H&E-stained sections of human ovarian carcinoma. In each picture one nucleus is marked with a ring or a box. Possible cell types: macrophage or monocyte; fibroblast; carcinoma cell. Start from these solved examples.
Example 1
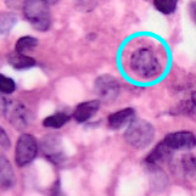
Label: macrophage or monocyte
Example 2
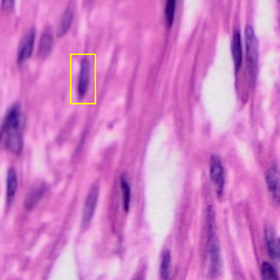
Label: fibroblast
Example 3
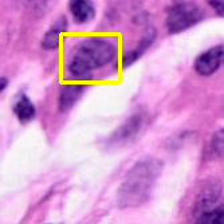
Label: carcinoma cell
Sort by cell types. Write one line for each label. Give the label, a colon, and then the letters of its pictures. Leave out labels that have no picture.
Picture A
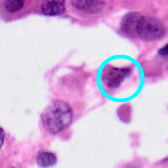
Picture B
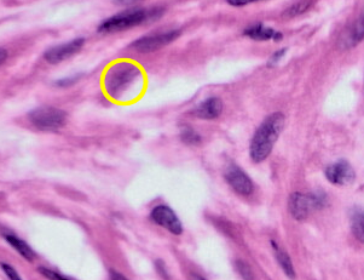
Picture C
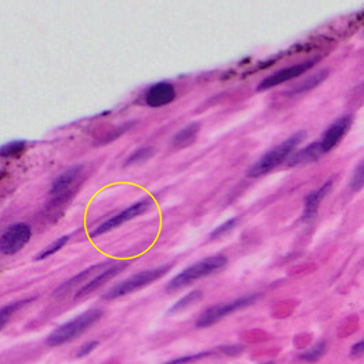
macrophage or monocyte: A
fibroblast: B, C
